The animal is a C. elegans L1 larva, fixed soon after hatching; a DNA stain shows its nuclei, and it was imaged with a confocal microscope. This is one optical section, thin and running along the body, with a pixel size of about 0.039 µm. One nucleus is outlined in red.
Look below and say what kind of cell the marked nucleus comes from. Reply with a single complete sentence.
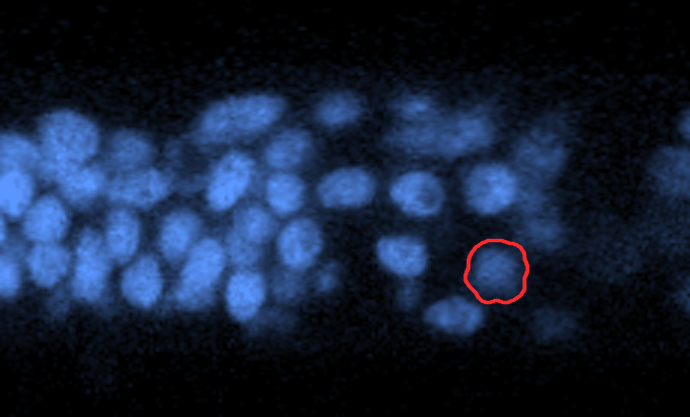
The marked cell is a glial cell (sheath or socket).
